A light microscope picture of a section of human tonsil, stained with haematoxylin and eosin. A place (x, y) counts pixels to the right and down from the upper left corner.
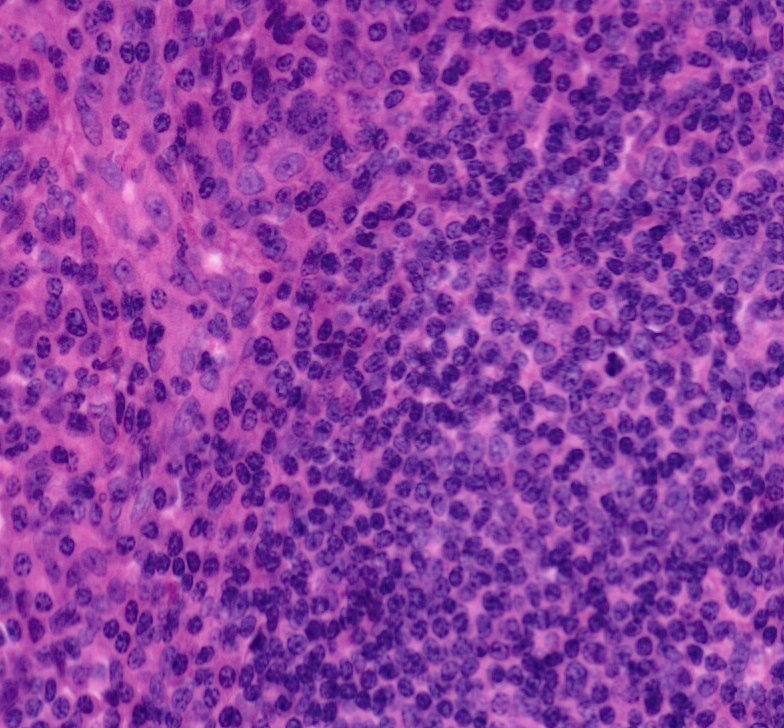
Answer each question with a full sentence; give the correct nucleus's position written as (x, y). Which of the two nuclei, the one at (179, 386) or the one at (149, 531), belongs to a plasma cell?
The nucleus at (149, 531), rather than the other, belongs to a plasma cell.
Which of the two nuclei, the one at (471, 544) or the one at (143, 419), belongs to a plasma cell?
It is the nucleus at (143, 419), not the other one, that belongs to a plasma cell.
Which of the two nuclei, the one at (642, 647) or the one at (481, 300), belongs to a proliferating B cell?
Answering which nucleus it is: the one at (481, 300), belonging to a proliferating B cell.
